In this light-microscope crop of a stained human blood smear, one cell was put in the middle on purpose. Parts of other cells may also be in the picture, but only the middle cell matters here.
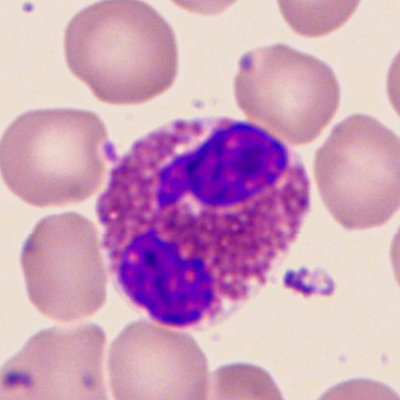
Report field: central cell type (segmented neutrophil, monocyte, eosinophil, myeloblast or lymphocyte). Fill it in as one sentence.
The crop centres on a single cell, and that cell is an eosinophil.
